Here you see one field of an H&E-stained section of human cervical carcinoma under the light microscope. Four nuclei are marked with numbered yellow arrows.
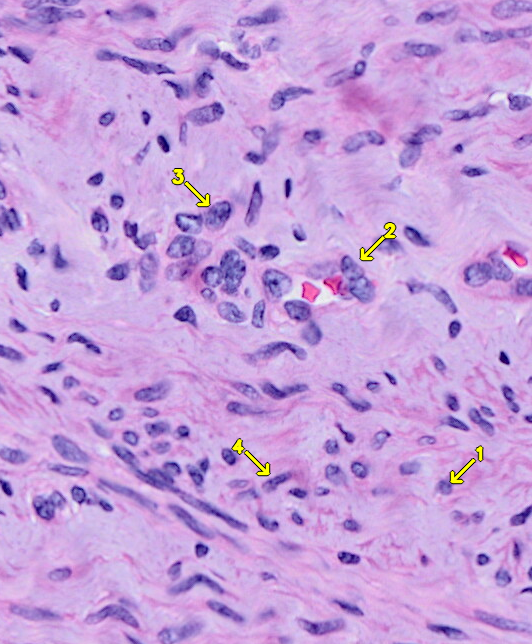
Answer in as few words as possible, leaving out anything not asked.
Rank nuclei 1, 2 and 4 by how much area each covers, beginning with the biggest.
2, 4, 1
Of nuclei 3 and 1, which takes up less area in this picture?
1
